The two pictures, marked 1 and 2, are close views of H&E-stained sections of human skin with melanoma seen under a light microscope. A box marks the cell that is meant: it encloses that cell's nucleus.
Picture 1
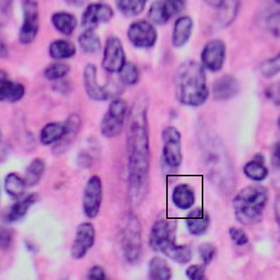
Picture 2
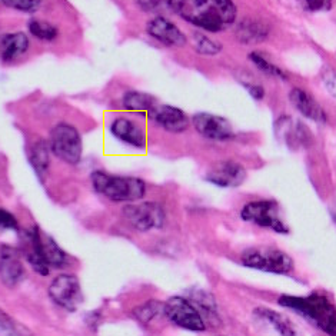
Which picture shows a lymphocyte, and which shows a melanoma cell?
1: lymphocyte
2: melanoma cell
